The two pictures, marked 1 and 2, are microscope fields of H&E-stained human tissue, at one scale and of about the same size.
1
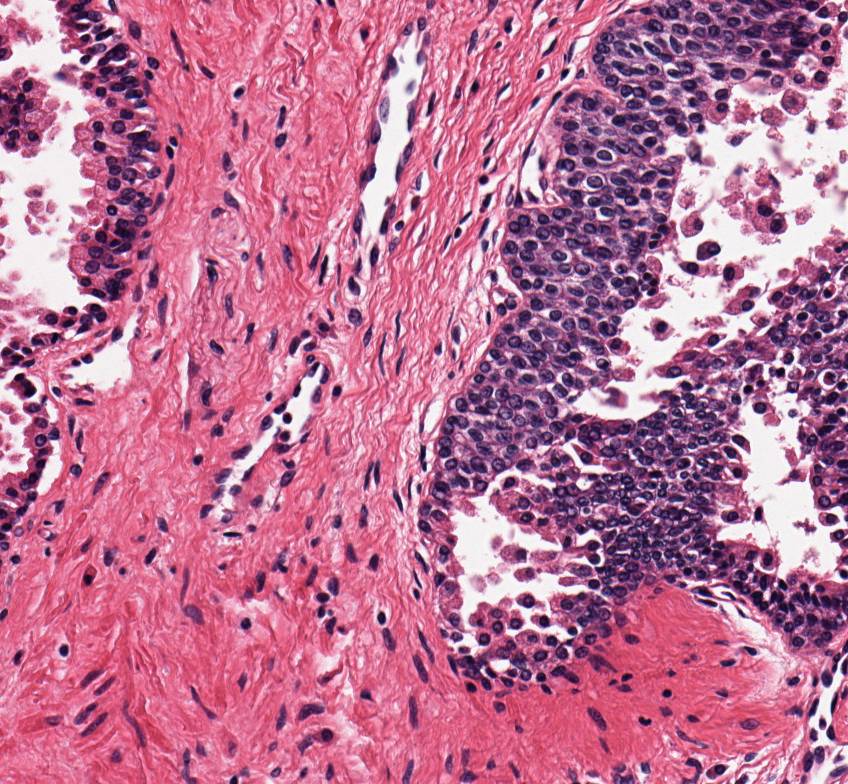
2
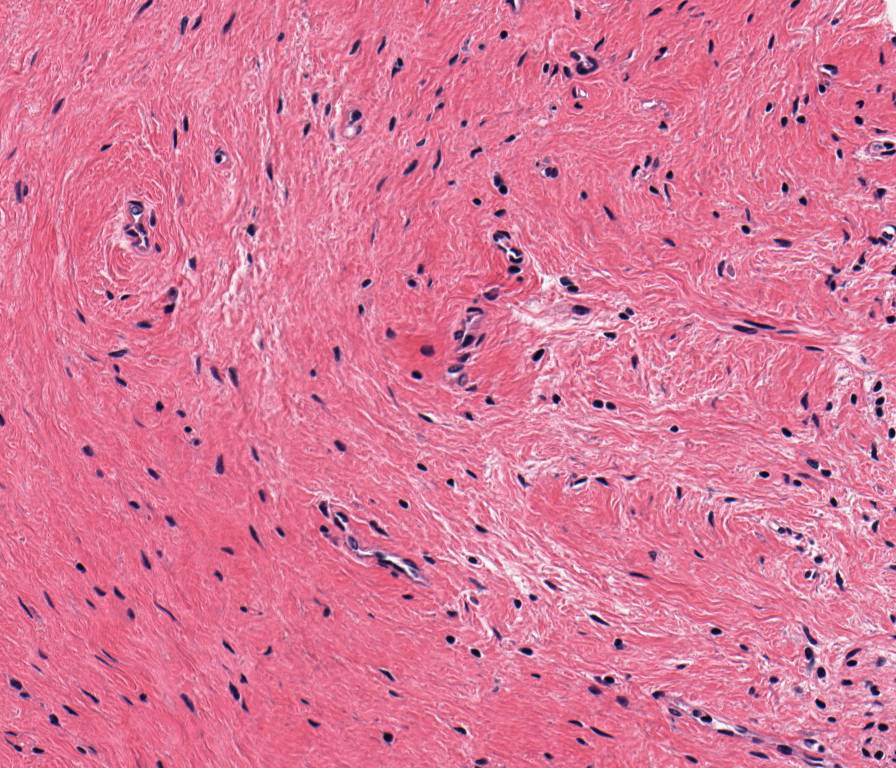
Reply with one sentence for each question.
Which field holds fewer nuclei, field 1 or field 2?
There are fewer nuclei in field 2.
